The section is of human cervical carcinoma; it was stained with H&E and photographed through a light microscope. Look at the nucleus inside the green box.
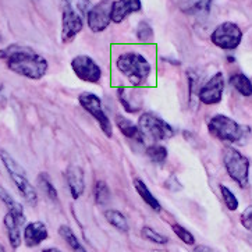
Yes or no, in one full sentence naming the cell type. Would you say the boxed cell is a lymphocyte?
Yes, in this section the boxed cell is a lymphocyte.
